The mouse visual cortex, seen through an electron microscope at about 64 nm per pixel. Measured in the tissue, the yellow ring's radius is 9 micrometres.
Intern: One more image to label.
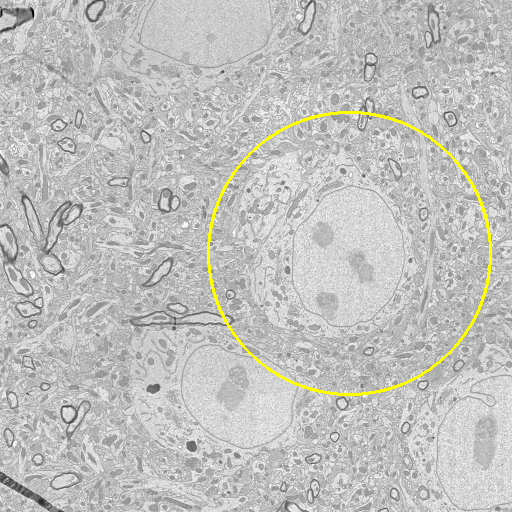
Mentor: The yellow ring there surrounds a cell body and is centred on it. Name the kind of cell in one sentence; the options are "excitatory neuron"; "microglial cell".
The ring marks the cell body of an excitatory neuron.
